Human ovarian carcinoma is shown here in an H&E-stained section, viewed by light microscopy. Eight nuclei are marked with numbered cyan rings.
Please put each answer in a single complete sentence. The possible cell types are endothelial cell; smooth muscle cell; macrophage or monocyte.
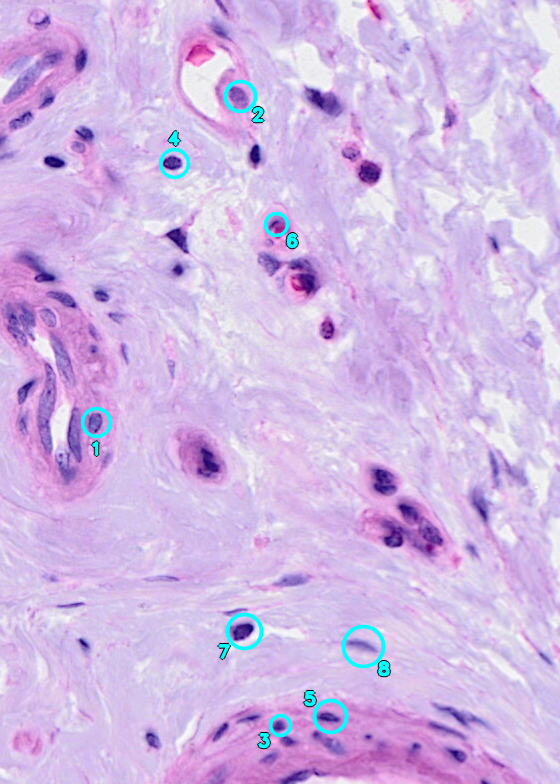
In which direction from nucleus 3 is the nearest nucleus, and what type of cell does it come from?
The nearest one is a smooth muscle cell, found below and to the right of nucleus 3.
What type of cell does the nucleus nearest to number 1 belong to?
It is an endothelial cell whose nucleus is nearest to number 1.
